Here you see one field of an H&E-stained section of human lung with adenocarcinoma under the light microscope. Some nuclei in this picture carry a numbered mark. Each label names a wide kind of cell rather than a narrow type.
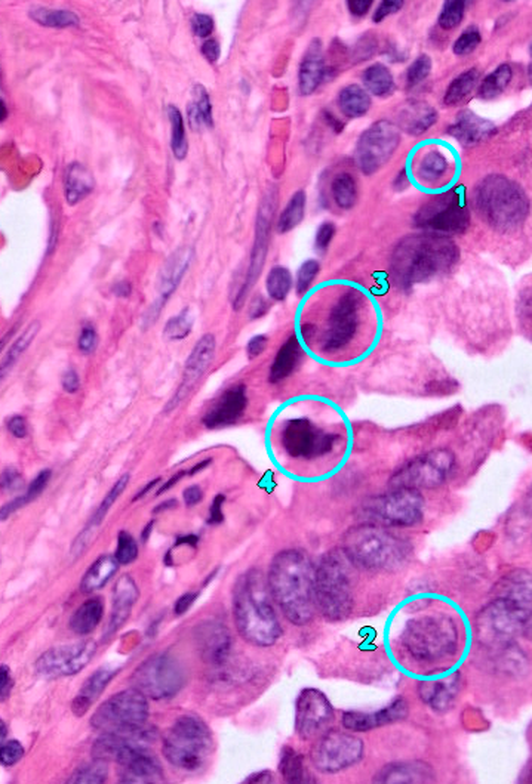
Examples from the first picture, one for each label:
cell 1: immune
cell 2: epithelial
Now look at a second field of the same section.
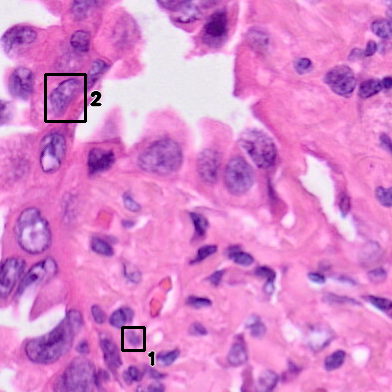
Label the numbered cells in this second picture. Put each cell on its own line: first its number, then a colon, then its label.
1: immune
2: epithelial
